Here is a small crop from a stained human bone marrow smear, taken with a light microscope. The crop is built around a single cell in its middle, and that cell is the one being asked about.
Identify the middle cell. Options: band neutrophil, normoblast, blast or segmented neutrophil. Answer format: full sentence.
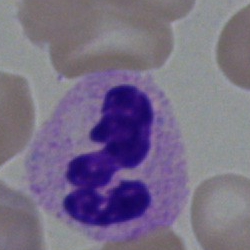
This crop's central cell is a segmented neutrophil.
